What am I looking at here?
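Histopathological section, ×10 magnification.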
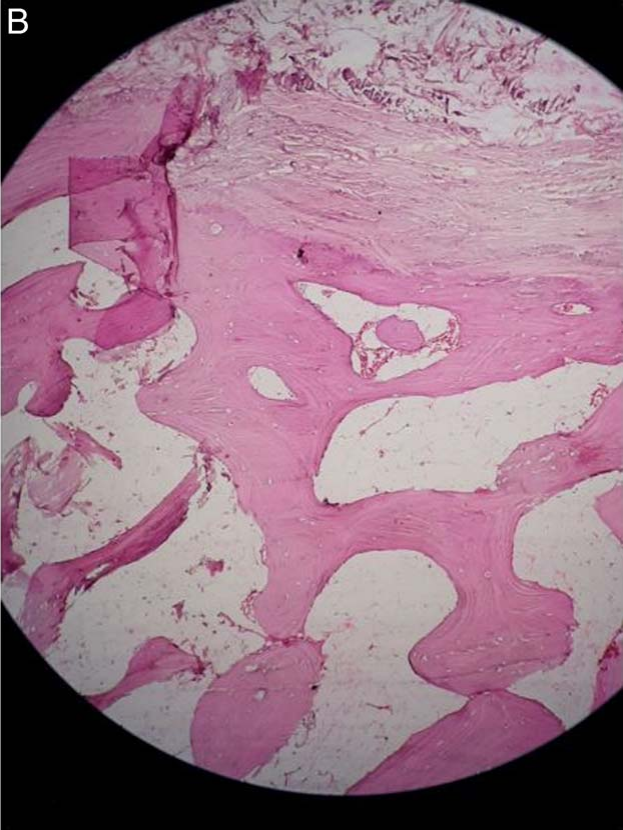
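Broad, anastomosing trabeculae of pink bone show faint parallel lamellar lines, with small lacunae scattered through the matrix. Pale, largely empty spaces lie between the trabeculae, and along the top edge a band of paler, fibrous stroma with streaming fibres borders the bone.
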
